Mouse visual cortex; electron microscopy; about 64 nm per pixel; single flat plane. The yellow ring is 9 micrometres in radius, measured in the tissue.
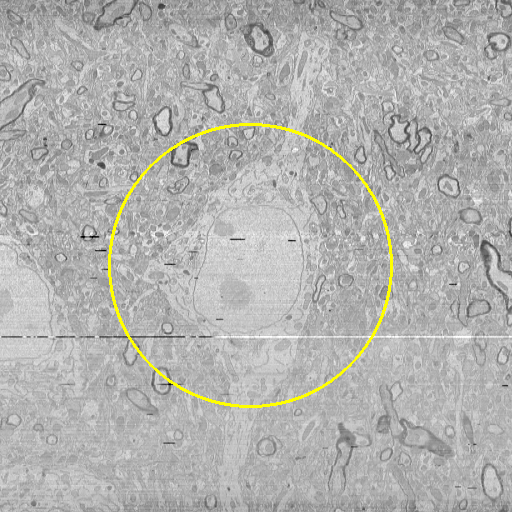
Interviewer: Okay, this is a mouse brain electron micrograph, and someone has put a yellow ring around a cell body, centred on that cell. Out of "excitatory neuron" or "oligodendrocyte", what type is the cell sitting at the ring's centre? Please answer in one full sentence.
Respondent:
The cell at the centre of the yellow ring in this picture is an excitatory neuron.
